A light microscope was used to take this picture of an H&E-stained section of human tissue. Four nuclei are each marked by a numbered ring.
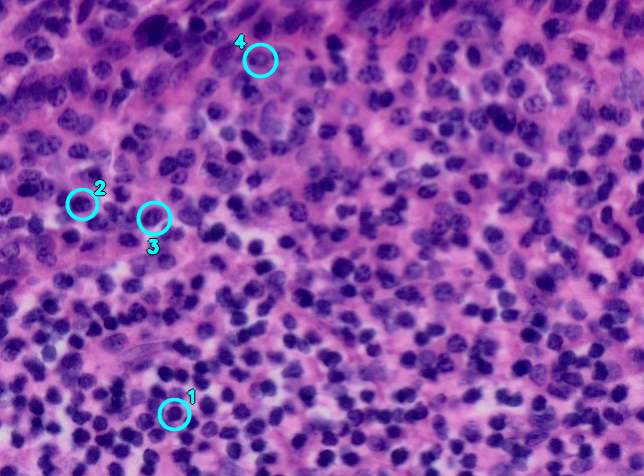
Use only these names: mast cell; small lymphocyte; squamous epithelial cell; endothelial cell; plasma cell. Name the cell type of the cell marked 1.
small lymphocyte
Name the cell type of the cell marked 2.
plasma cell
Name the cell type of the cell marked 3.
plasma cell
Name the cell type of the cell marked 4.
plasma cell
